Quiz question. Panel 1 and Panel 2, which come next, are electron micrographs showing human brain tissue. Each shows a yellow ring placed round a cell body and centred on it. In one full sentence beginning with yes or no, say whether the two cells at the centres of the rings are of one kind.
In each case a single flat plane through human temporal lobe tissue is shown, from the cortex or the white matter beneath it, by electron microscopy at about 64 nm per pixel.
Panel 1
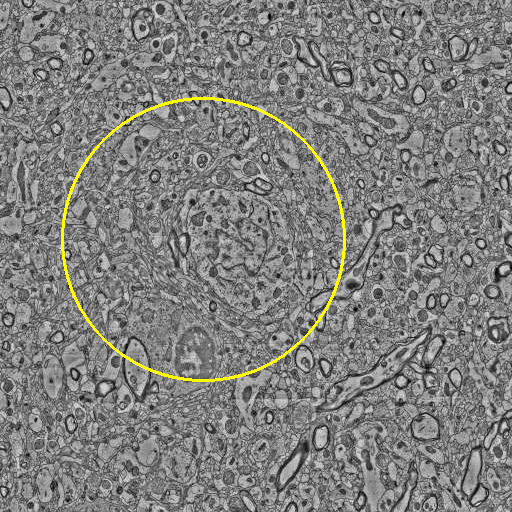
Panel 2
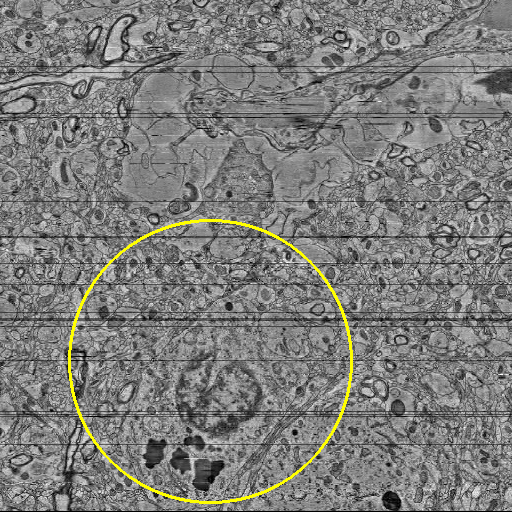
Yes, Panel 1 and Panel 2 show one kind of cell at the centre of the ring.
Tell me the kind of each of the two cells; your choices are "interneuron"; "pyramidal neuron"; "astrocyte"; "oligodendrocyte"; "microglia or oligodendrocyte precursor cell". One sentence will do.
Each cell, in the first picture and the second, is an interneuron.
